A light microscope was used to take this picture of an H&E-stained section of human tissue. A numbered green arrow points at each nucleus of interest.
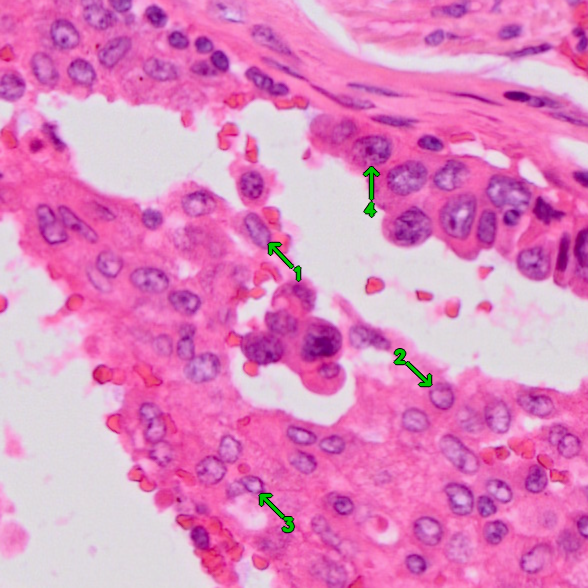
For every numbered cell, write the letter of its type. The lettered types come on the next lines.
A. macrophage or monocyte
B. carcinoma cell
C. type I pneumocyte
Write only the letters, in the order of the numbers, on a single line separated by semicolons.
A; A; A; B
